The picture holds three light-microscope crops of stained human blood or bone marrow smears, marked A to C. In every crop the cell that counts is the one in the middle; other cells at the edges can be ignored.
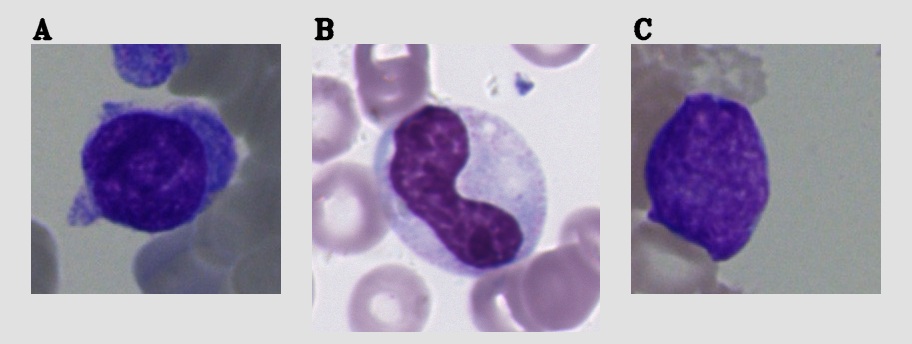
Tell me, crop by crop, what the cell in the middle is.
A: blast
B: band neutrophil
C: blast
